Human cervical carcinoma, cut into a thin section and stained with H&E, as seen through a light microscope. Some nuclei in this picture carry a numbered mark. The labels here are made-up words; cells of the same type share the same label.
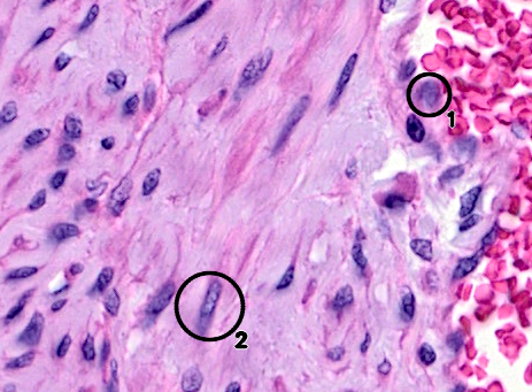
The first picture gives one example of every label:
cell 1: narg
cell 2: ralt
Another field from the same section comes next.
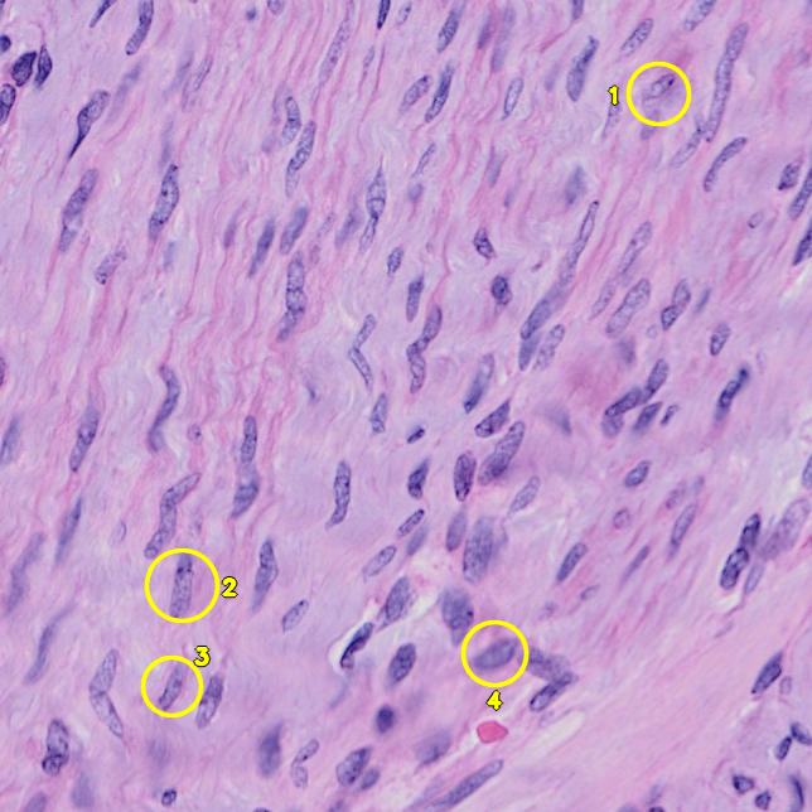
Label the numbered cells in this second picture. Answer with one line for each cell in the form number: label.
1: ralt
2: ralt
3: ralt
4: narg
